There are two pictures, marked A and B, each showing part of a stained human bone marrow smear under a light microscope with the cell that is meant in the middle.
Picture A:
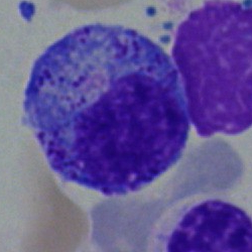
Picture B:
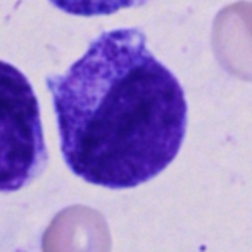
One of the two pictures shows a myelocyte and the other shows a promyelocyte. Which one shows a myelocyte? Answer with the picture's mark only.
A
